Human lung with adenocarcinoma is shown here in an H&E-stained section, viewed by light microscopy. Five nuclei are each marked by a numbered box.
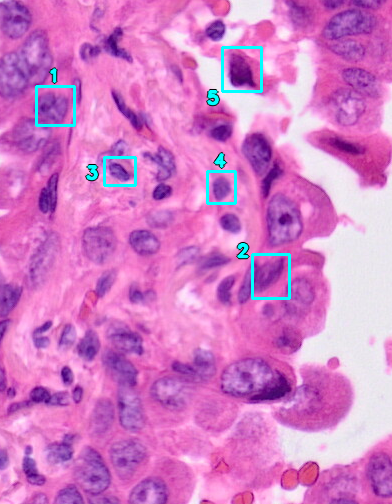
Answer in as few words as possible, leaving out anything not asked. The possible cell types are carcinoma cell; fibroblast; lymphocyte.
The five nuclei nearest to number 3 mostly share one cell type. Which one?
fibroblast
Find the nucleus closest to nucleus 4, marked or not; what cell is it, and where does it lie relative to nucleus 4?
a lymphocyte; below nucleus 4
